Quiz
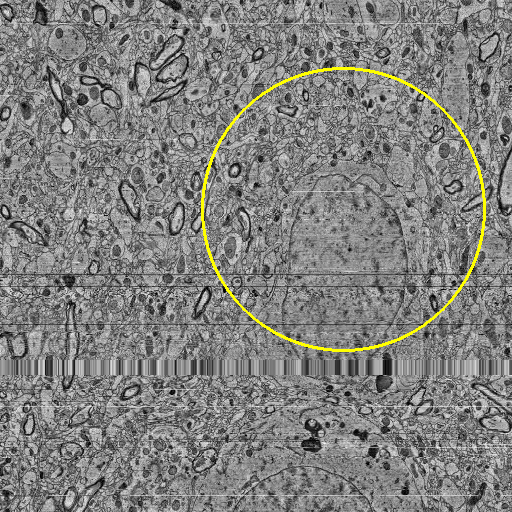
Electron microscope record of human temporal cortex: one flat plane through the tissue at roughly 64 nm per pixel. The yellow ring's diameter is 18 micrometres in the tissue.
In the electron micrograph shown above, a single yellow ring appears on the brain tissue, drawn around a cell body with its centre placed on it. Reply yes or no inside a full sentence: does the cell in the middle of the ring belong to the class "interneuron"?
Yes, the cell at the centre of the ring in the picture belongs to that class.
